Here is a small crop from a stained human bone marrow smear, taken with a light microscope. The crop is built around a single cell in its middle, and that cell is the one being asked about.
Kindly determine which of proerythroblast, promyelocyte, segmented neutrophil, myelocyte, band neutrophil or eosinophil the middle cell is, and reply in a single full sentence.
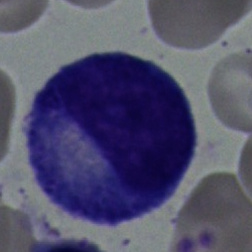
This particular crop is centered on a promyelocyte.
